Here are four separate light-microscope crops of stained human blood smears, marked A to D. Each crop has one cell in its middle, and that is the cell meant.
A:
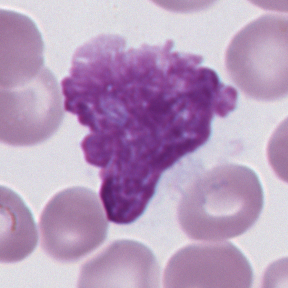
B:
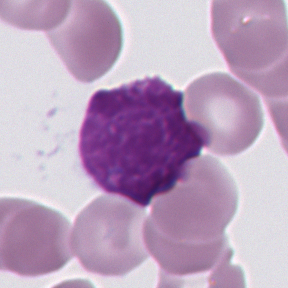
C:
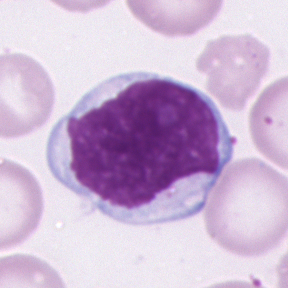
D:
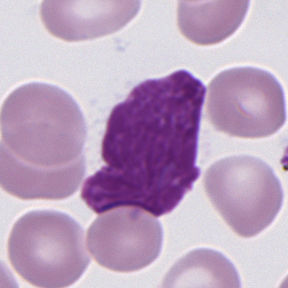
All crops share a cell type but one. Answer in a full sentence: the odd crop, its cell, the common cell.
The exception is crop C: it is a typical lymphocyte, and the others are all smudge cells.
